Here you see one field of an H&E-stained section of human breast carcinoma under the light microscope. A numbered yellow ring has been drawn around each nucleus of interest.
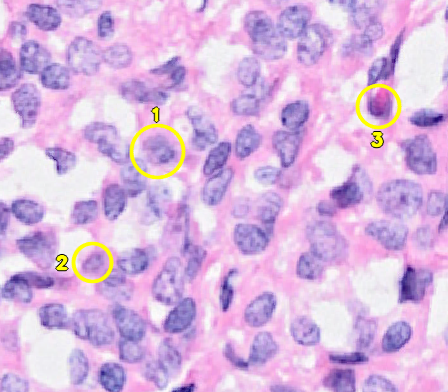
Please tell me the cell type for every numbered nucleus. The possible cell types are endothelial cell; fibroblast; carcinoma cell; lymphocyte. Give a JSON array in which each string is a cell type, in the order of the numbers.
["carcinoma cell", "carcinoma cell", "endothelial cell"]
